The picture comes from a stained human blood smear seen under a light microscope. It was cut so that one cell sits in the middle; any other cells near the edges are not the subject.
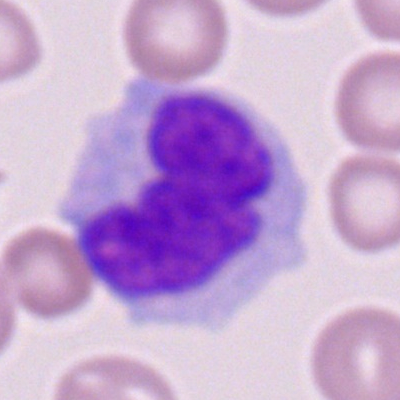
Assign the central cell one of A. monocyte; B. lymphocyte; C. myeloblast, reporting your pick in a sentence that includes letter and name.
Of the options given, A is correct, the central cell being a monocyte.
